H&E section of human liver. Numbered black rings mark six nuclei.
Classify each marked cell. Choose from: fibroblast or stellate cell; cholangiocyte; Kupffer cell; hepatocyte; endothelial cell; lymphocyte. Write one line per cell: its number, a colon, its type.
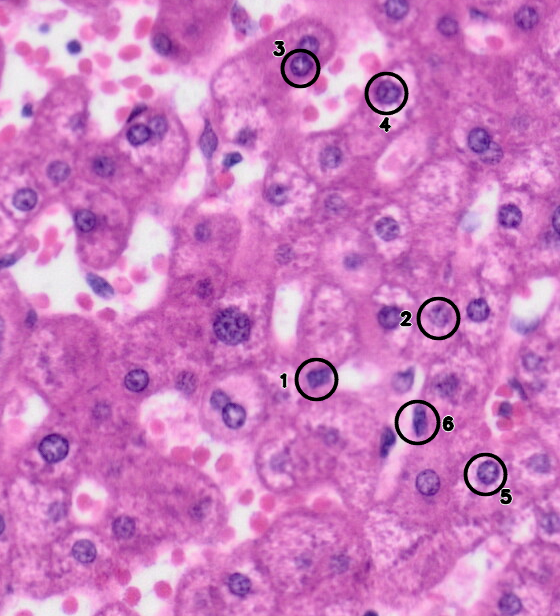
1: fibroblast or stellate cell
2: hepatocyte
3: hepatocyte
4: hepatocyte
5: hepatocyte
6: fibroblast or stellate cell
